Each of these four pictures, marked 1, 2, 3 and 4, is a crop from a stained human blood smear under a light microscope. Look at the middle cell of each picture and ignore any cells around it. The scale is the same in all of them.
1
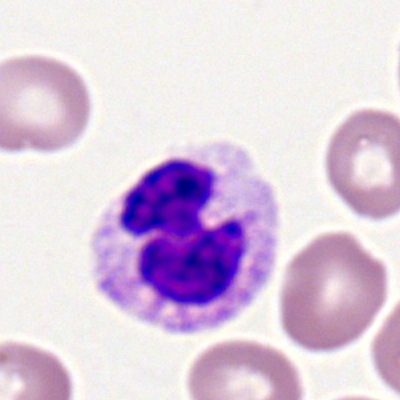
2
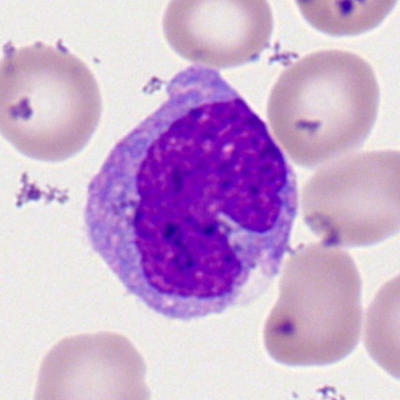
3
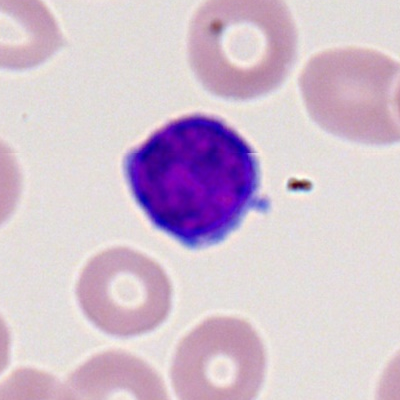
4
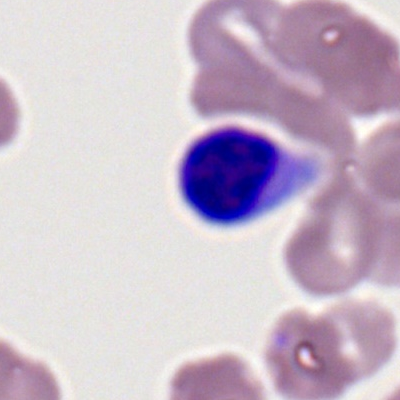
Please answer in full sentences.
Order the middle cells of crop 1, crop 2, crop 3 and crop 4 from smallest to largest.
The order is 4, 3, 1, 2, beginning with the smallest.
